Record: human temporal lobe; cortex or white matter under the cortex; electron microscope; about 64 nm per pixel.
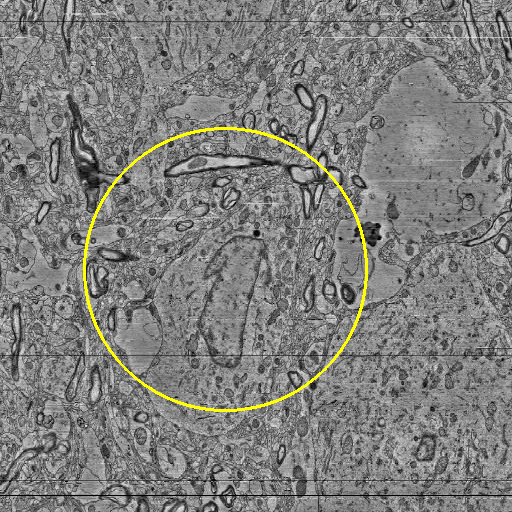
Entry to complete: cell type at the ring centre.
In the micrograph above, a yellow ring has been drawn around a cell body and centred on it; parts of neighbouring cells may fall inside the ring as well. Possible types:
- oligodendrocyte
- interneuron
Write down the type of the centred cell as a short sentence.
The ring is centred on an interneuron.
